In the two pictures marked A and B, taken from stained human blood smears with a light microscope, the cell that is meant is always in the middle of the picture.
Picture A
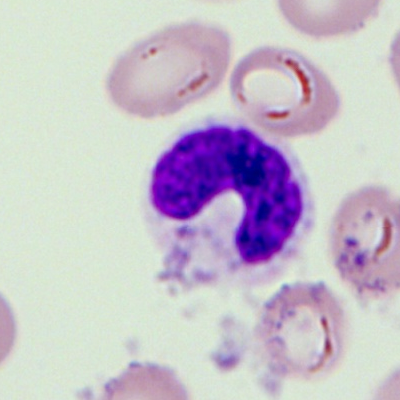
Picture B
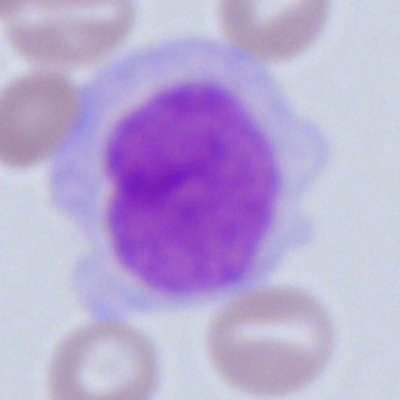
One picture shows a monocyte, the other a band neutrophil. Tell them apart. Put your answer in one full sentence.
Picture A shows a band neutrophil and picture B shows a monocyte.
